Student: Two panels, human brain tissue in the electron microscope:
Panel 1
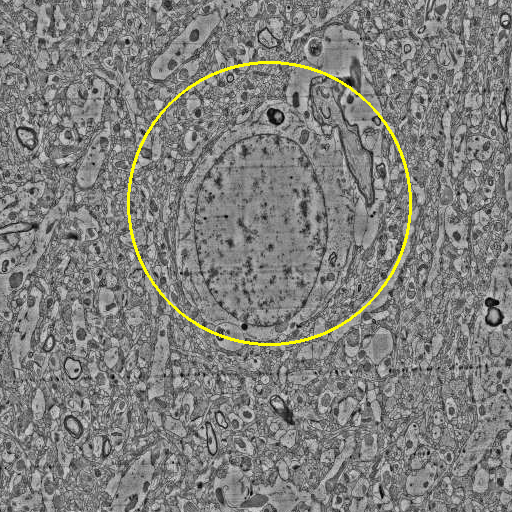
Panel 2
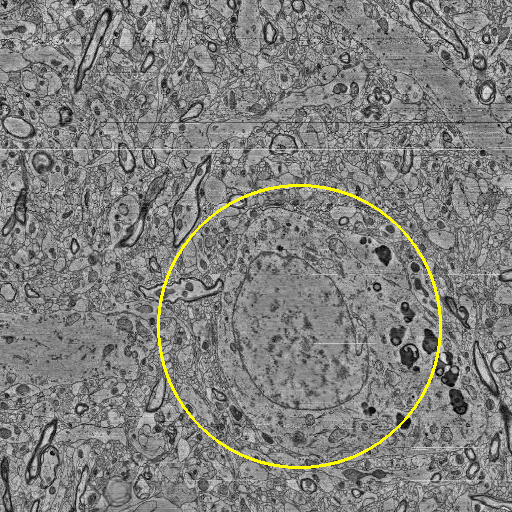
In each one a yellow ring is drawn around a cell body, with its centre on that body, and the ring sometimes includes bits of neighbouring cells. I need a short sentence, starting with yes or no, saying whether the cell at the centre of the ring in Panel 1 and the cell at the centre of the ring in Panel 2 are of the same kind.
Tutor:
Yes, they are the same kind of cell.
